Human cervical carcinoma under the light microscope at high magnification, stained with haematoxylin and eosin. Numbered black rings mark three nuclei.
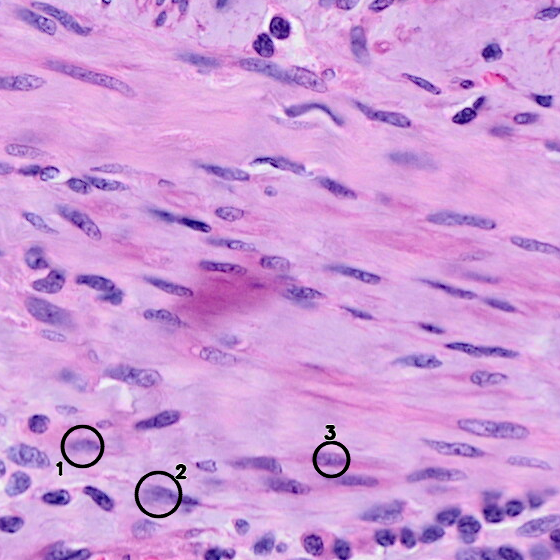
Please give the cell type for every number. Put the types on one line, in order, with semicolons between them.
smooth muscle cell; fibroblast; smooth muscle cell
